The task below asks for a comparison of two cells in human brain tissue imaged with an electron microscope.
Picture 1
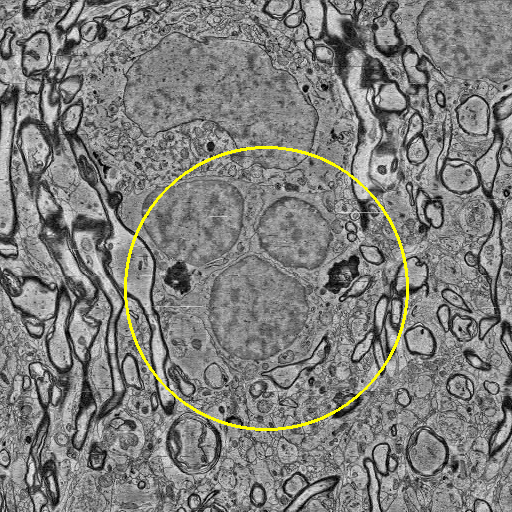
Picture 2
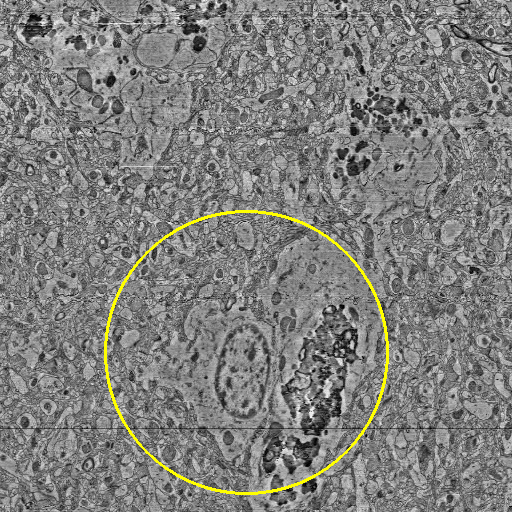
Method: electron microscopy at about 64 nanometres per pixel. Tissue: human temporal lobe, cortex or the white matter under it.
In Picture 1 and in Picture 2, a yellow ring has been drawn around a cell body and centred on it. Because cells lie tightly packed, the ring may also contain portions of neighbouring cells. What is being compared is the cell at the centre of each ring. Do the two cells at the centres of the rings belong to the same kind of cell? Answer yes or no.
no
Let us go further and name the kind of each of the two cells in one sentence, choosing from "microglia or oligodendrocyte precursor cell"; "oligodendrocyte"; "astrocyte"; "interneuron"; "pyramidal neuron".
The ring of the first picture is on an oligodendrocyte, the ring of the second on an astrocyte.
